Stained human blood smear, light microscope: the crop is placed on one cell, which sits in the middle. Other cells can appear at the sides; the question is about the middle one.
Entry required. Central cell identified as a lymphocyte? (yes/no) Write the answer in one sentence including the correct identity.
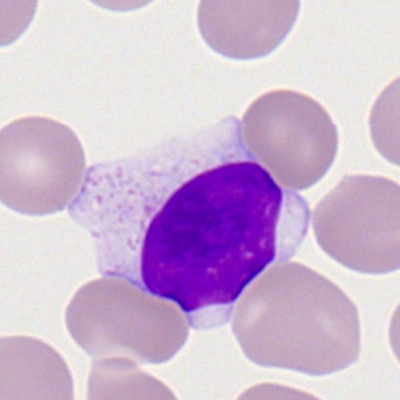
Yes, the cell positioned at the centre of the crop is a lymphocyte.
